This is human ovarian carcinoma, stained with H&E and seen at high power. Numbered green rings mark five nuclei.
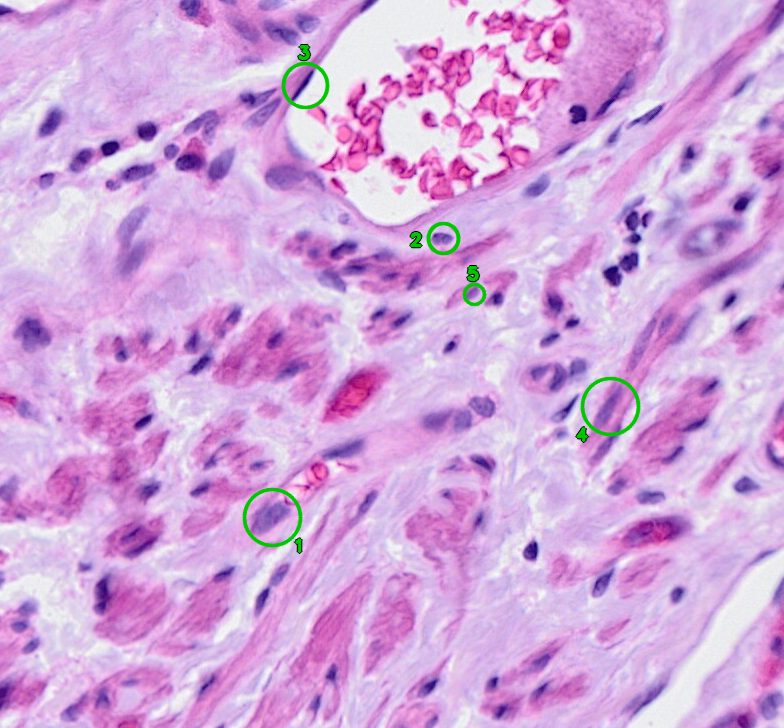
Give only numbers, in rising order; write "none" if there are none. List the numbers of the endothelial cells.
1, 3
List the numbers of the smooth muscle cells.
4, 5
